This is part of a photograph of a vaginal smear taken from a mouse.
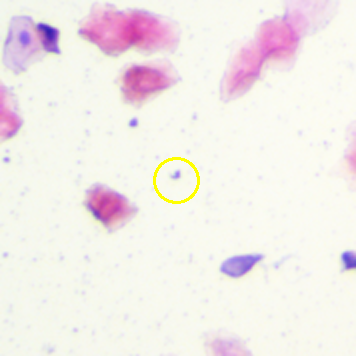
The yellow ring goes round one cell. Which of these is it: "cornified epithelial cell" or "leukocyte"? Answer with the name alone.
leukocyte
